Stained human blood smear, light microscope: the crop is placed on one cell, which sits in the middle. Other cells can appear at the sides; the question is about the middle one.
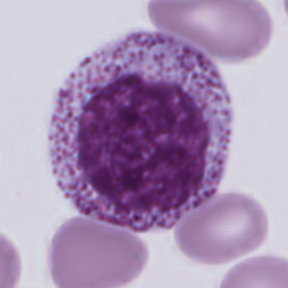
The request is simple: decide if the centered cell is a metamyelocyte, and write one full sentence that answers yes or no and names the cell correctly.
No, wrong label: the middle cell is a myelocyte instead of a metamyelocyte.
